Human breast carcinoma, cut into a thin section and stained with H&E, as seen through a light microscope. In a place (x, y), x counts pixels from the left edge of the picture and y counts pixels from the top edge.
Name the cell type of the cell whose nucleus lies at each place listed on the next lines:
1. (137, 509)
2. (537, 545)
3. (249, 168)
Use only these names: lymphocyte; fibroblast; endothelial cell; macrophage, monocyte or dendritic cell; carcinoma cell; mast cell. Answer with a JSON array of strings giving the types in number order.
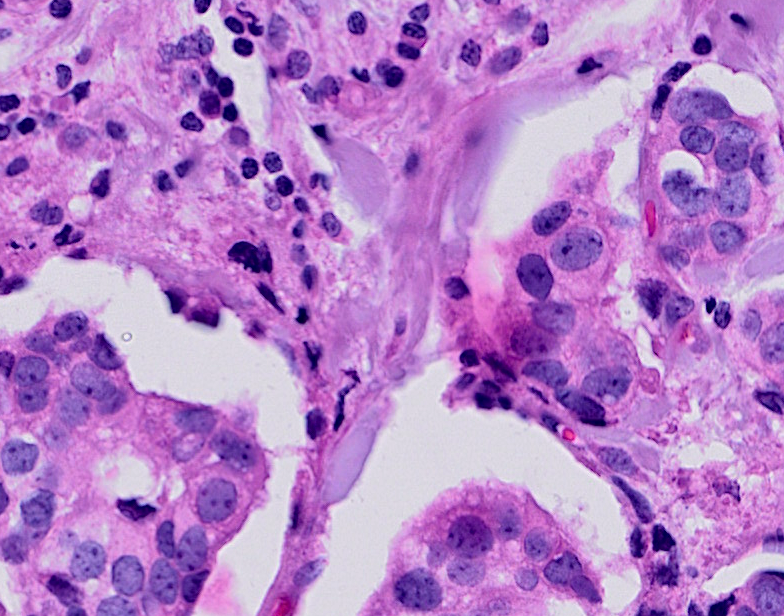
["carcinoma cell", "carcinoma cell", "lymphocyte"]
